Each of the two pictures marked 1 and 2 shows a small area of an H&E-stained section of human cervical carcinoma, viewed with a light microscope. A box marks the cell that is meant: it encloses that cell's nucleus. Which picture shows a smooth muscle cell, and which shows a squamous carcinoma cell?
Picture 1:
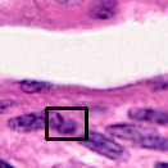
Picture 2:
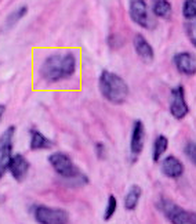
1: squamous carcinoma cell
2: smooth muscle cell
